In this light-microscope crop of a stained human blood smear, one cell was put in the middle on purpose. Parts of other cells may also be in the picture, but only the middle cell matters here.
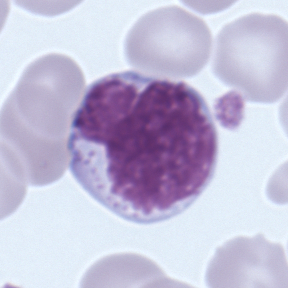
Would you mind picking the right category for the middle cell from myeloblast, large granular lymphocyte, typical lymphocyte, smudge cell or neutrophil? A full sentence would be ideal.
In the middle of this smear crop is a large granular lymphocyte.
